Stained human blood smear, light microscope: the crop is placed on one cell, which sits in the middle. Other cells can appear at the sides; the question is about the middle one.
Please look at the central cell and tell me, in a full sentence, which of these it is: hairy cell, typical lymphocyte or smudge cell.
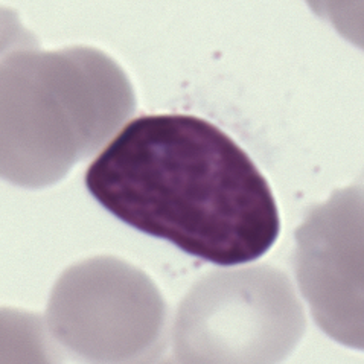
By type, the central cell of the crop is a smudge cell.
